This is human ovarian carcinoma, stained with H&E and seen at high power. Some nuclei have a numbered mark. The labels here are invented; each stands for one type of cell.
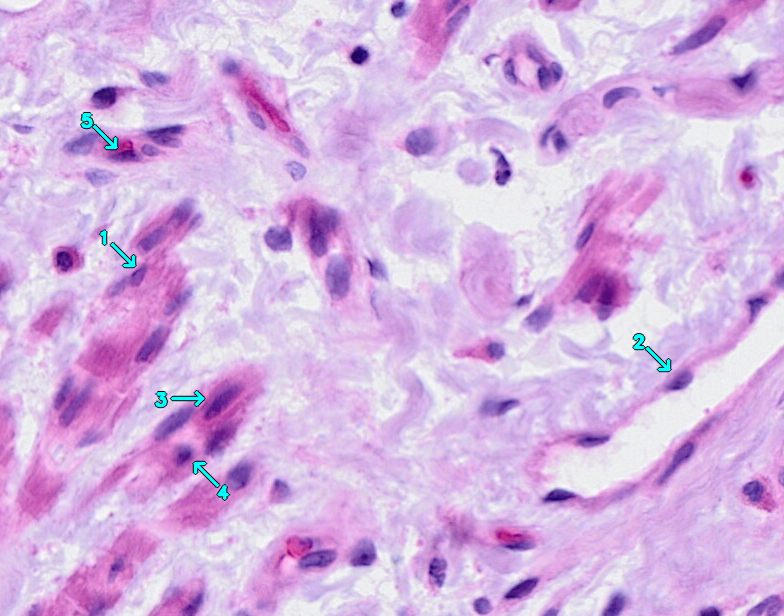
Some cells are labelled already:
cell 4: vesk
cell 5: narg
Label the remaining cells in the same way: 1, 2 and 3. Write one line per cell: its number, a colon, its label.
1: vesk
2: narg
3: vesk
